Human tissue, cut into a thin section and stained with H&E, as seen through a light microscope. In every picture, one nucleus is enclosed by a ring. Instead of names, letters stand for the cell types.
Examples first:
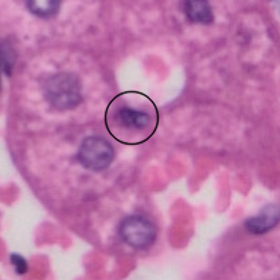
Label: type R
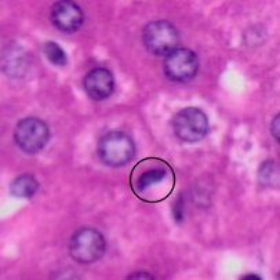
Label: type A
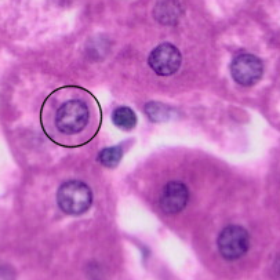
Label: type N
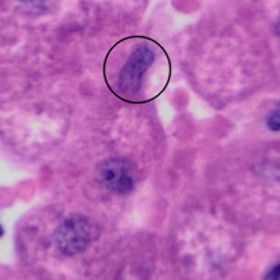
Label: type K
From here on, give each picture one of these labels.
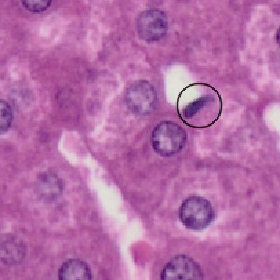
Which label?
type A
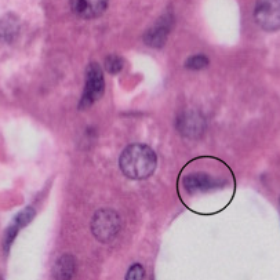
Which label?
type R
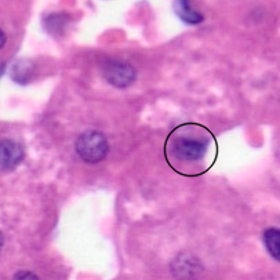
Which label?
type R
